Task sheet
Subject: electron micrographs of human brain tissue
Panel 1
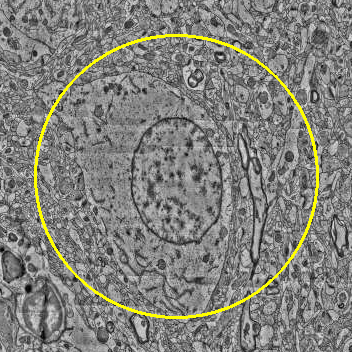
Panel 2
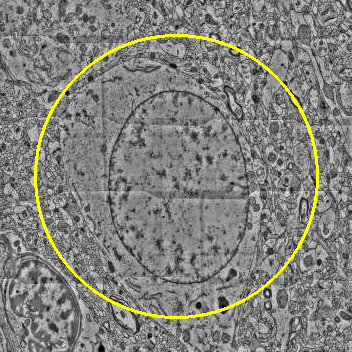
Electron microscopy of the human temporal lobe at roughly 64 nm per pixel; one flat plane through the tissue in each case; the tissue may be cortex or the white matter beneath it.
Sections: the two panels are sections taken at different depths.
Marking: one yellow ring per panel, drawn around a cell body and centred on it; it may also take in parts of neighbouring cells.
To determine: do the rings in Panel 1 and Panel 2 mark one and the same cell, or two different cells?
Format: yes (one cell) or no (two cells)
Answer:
yes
